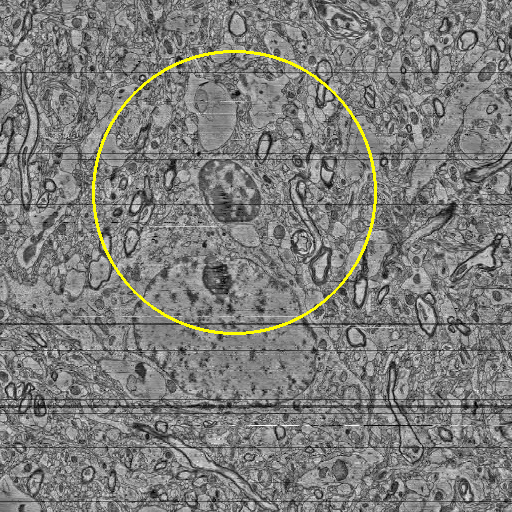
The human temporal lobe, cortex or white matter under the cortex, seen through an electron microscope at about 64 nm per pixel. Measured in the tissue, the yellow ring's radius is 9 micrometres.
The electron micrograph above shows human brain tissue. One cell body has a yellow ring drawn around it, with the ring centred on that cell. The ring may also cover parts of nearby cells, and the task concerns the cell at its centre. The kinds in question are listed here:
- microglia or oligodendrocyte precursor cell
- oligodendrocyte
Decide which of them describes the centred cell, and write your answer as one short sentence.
The centred cell is a microglial cell or oligodendrocyte precursor cell.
